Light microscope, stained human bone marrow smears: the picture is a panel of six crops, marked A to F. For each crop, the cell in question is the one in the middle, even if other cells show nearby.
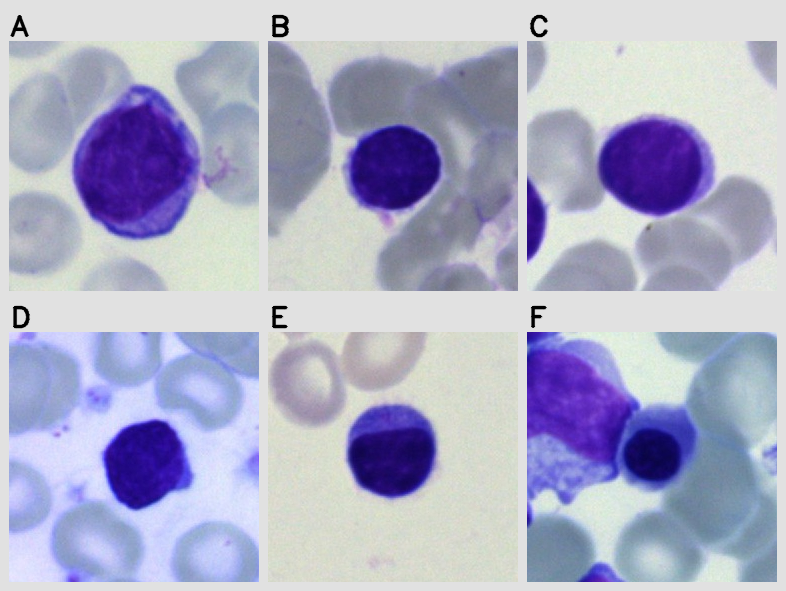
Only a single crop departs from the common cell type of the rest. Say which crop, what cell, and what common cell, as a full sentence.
The remaining crops are all lymphocytes, so crop F, being a normoblast, is the exception.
